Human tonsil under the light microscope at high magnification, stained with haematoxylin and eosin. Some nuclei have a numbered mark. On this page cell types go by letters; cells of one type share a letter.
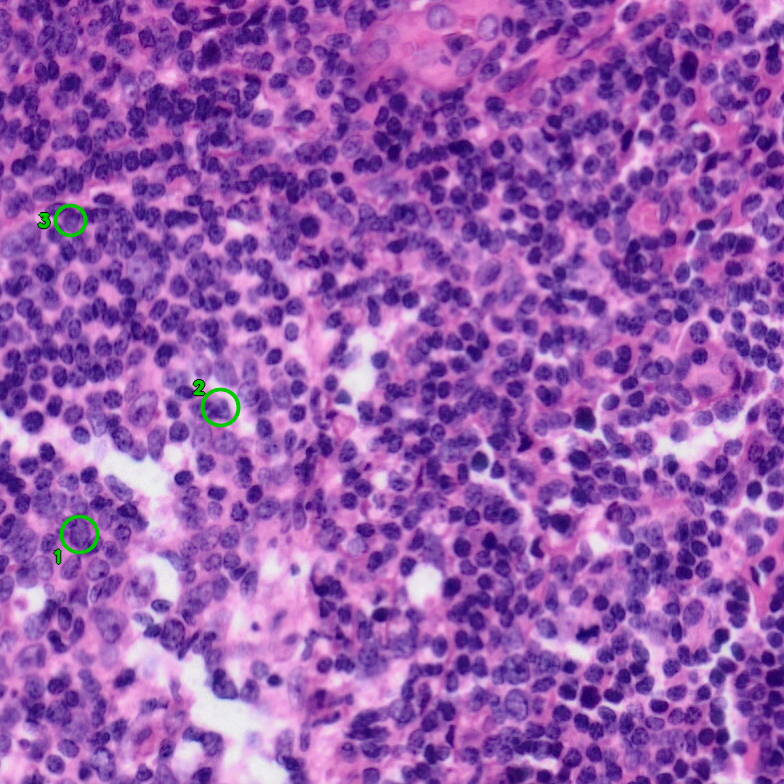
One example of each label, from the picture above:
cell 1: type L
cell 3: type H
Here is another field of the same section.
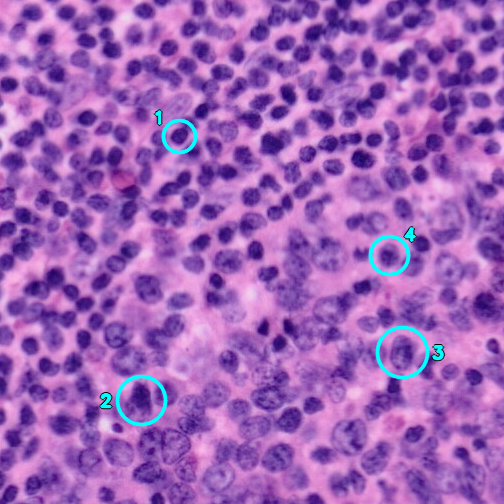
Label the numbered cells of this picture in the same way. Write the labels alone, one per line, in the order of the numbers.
type H
type L
type L
type L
